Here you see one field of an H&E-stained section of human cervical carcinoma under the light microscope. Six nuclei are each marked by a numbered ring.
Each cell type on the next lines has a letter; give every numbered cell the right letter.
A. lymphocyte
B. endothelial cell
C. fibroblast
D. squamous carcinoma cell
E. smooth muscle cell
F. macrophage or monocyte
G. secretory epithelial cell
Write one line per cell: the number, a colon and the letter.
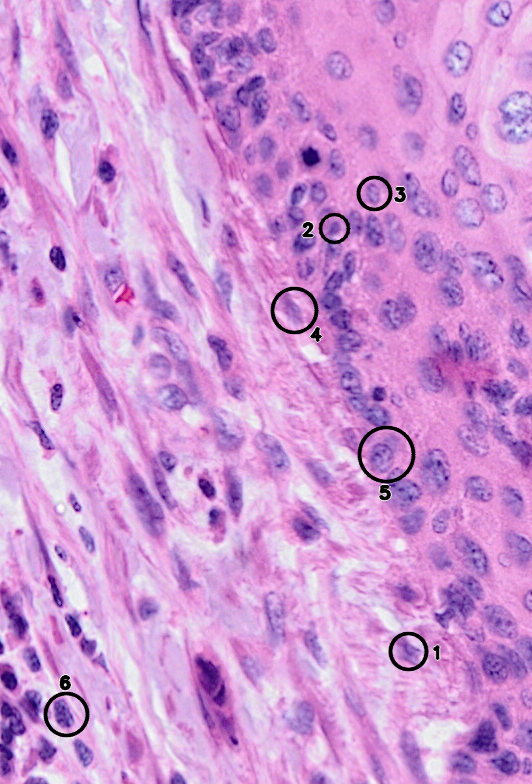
1: C
2: D
3: D
4: C
5: D
6: A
